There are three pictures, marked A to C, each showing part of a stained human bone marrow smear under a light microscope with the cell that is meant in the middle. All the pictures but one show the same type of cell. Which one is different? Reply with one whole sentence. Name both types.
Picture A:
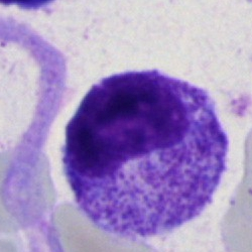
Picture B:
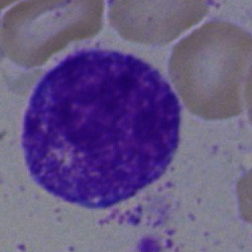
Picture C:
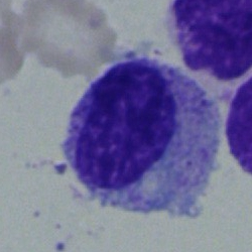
The different one is picture B; it shows a metamyelocyte, whereas all the others show myelocytes.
